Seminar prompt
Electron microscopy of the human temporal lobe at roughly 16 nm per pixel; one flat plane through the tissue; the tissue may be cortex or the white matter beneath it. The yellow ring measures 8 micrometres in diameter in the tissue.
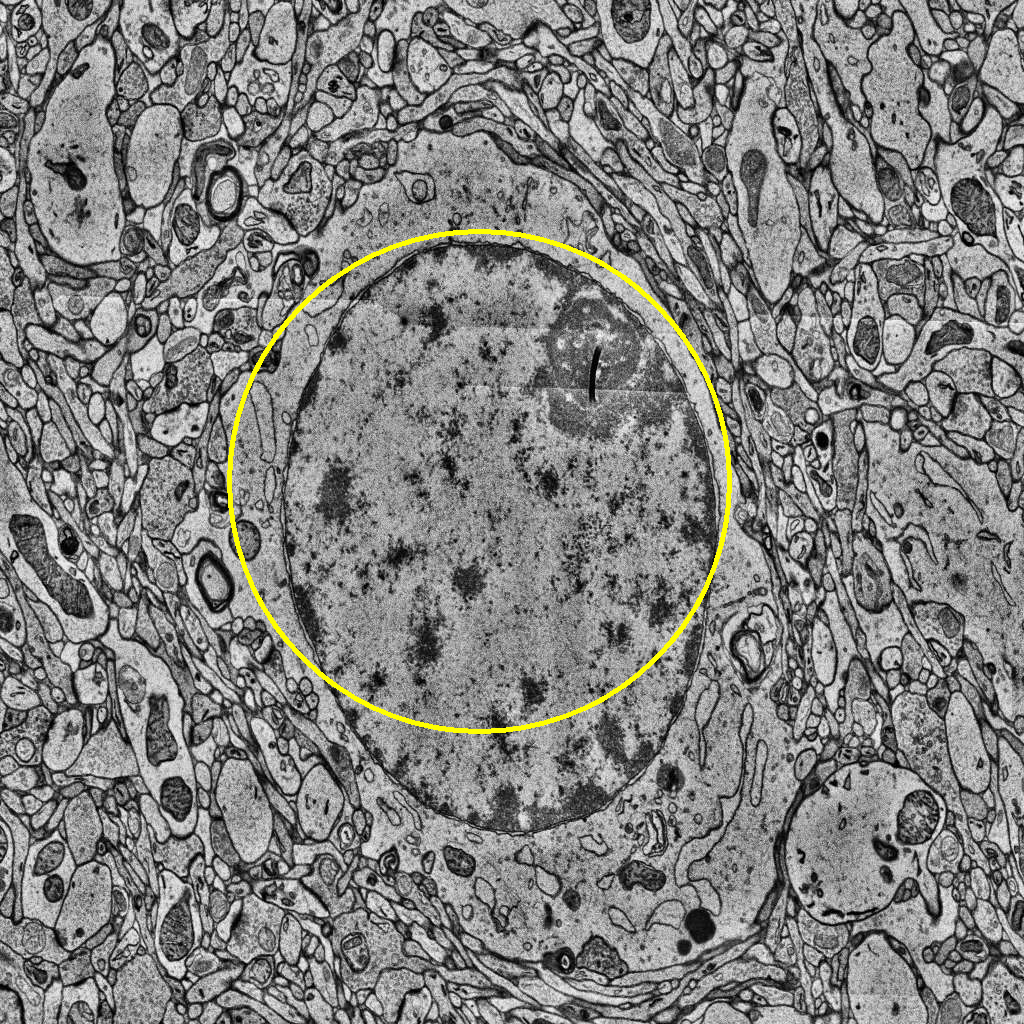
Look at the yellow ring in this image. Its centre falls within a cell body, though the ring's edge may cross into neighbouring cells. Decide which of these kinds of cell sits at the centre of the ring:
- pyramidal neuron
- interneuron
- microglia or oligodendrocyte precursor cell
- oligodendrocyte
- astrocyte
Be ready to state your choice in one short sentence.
The kind of cell at the ring's centre is an astrocyte.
